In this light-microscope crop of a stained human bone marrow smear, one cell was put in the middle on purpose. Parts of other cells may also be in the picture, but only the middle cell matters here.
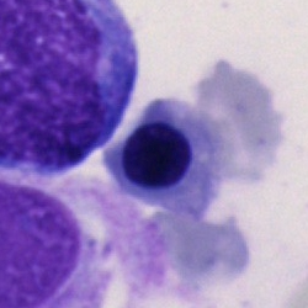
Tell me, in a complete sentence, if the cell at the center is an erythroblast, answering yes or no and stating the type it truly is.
Yes, as regards the cell in the middle, it is an erythroblast.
